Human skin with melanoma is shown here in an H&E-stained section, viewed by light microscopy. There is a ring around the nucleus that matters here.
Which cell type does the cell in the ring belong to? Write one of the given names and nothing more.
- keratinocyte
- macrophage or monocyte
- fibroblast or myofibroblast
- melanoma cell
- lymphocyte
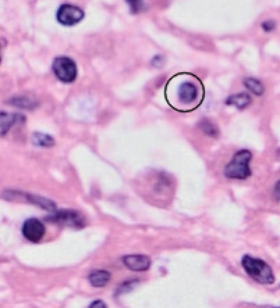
lymphocyte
